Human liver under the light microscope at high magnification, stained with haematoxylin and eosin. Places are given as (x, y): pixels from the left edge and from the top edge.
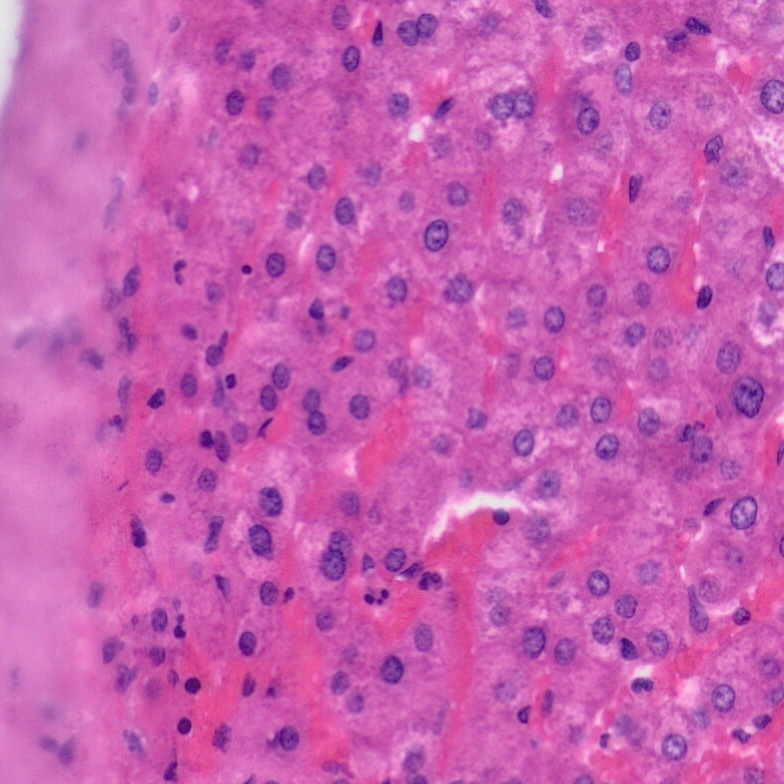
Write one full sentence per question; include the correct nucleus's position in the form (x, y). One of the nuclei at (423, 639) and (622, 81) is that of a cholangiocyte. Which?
Identify the nucleus at (622, 81) as the one belonging to a cholangiocyte.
